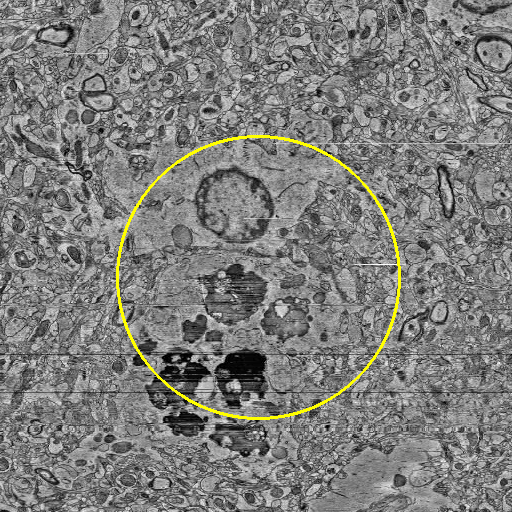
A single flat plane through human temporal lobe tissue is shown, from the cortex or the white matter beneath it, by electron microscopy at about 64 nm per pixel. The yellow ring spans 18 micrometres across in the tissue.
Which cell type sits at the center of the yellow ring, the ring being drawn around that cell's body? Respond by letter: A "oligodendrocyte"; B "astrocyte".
B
